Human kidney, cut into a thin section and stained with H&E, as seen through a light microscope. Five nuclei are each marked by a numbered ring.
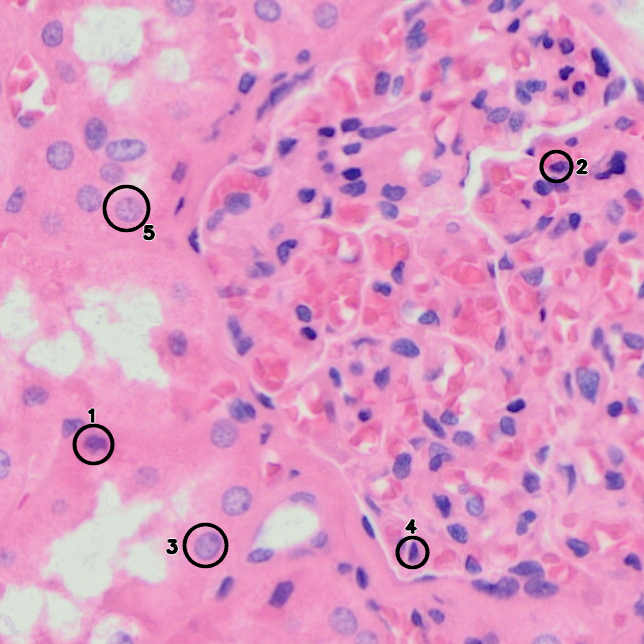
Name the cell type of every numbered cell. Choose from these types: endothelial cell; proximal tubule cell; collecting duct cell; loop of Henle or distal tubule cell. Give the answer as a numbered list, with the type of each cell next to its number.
1. proximal tubule cell
2. endothelial cell
3. proximal tubule cell
4. endothelial cell
5. proximal tubule cell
